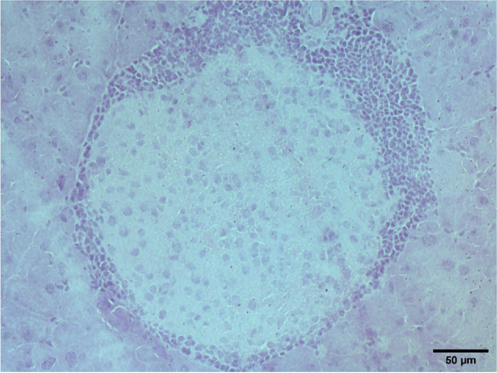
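A large, rounded pancreatic islet is shown, surrounded by exocrine tissue and ringed by inflammatory cells. The interior of the islet consists of pale-staining cells with round, evenly spaced nuclei, and it is largely free of infiltrate. A band of small cells with dark purple nuclei encircles the islet, several cells thick and thicker along the upper and right edges. Beyond this band lies the exocrine tissue, which has darker blue-purple cytoplasm.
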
